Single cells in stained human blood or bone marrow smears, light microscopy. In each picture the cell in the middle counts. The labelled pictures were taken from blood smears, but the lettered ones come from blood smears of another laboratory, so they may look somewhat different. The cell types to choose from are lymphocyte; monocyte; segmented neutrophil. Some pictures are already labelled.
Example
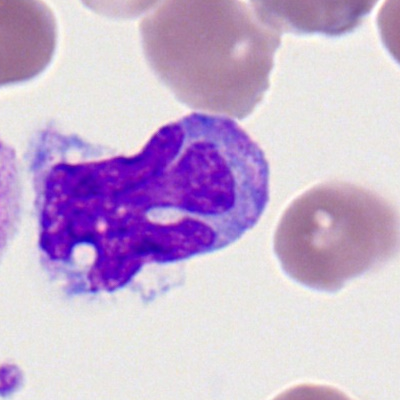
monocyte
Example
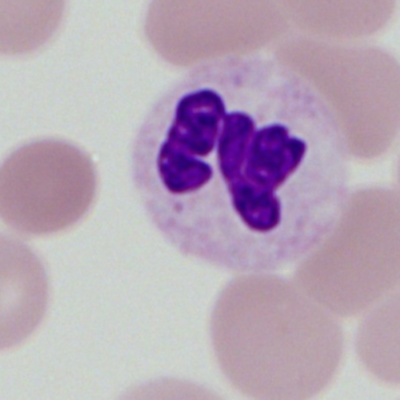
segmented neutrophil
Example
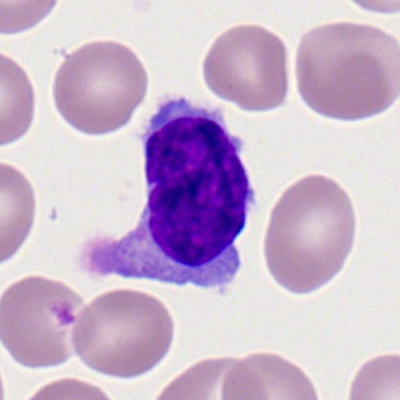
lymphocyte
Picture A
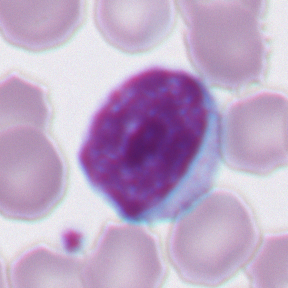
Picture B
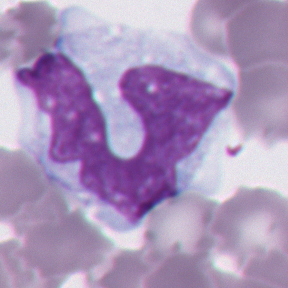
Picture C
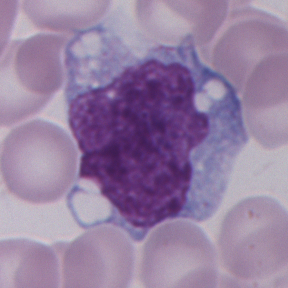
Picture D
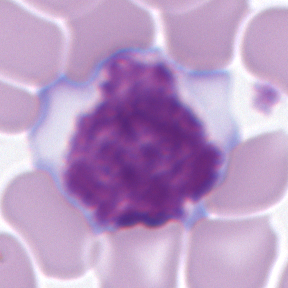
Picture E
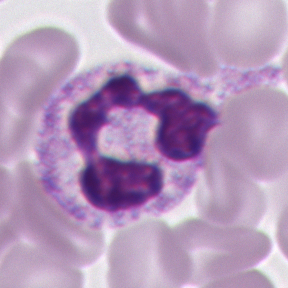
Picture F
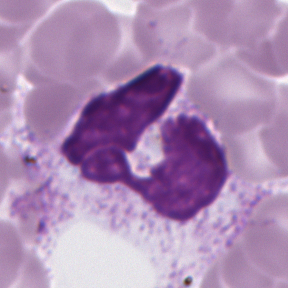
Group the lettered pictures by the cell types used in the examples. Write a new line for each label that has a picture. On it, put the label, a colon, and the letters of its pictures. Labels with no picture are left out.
lymphocyte: A
monocyte: B, C, D
segmented neutrophil: E, F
